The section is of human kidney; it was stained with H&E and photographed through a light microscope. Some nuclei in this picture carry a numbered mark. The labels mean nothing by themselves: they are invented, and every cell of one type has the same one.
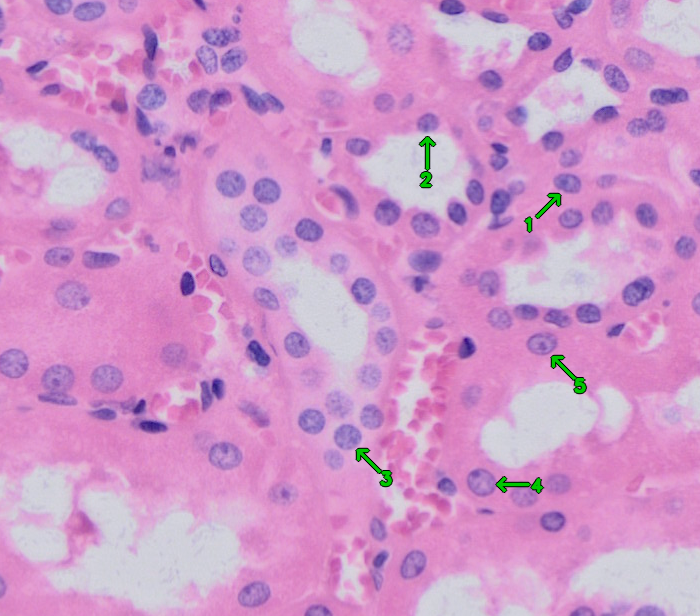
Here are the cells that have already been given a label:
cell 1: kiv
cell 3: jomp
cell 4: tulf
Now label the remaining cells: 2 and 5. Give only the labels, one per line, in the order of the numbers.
kiv
tulf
